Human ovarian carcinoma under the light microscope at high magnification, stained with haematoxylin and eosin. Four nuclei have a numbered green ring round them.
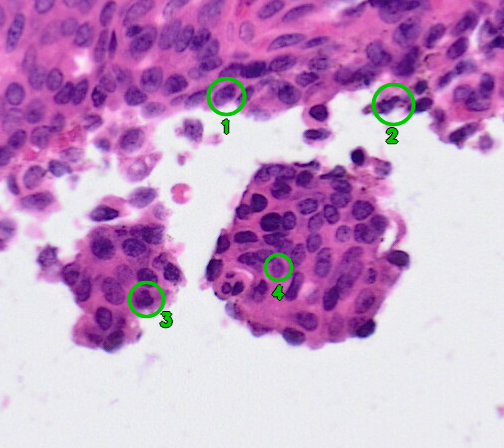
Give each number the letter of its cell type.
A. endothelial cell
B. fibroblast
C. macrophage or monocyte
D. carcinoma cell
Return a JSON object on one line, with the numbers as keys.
{"1": "D", "2": "C", "3": "D", "4": "D"}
